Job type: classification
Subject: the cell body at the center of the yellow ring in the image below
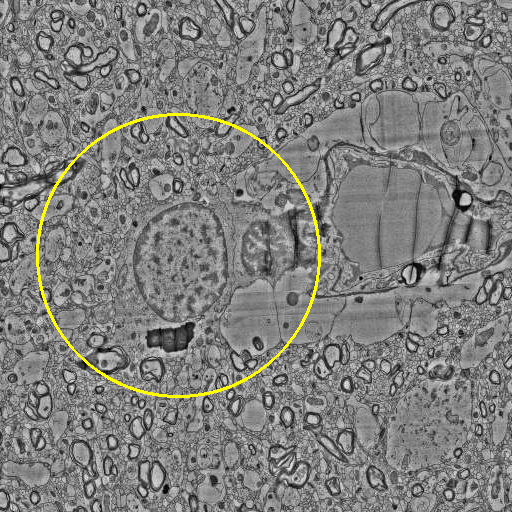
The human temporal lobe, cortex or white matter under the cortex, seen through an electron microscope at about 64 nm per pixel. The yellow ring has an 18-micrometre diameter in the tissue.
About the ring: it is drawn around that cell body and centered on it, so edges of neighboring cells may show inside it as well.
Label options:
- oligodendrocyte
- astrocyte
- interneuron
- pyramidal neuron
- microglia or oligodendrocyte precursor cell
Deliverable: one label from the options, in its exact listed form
oligodendrocyte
